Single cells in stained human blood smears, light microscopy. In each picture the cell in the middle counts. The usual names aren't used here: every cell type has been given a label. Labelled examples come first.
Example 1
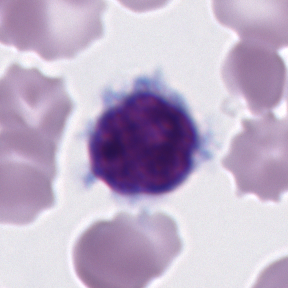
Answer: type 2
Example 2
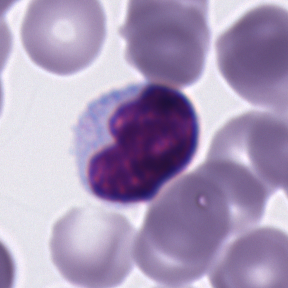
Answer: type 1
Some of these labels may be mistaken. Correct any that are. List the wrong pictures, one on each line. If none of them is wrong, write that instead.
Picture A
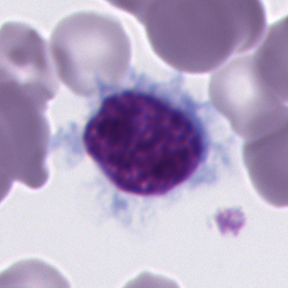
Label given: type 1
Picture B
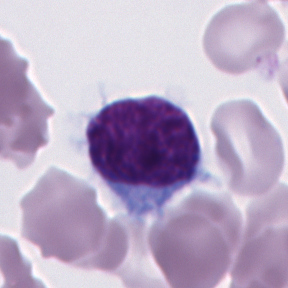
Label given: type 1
A: type 2, not type 1
B: type 2, not type 1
